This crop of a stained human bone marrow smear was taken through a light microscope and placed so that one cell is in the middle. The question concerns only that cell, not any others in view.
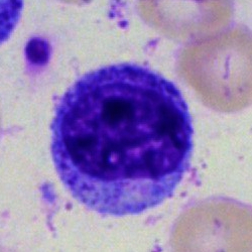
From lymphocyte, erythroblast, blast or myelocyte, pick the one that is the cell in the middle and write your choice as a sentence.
The cell in the exact centre of the crop is a myelocyte.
